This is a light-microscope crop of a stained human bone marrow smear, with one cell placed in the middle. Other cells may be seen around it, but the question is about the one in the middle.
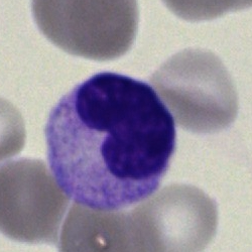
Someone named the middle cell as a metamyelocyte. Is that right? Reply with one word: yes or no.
yes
